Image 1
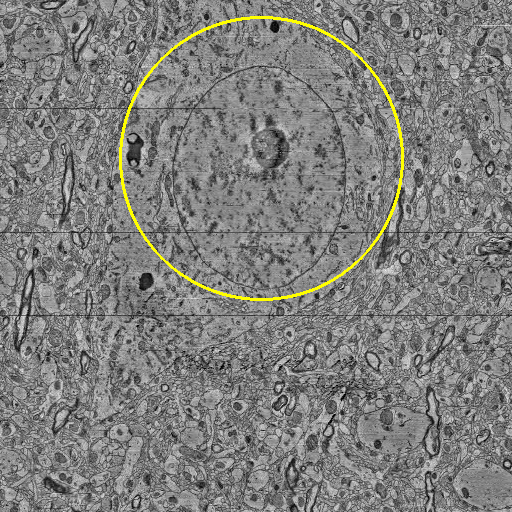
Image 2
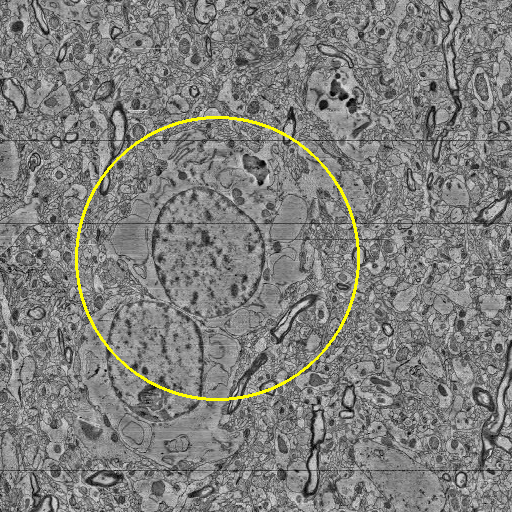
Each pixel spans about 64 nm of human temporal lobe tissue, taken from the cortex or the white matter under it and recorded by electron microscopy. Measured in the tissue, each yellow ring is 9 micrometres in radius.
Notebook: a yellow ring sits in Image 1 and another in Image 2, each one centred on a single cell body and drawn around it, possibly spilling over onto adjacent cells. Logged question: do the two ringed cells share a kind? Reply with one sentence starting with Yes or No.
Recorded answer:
No, the centre cells inside the rings of Image 1 and Image 2 are of two kinds.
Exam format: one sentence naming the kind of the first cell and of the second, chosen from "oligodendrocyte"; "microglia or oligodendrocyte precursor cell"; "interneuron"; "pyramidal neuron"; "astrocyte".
The first picture's cell is a pyramidal neuron, and the second picture's cell is an astrocyte.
